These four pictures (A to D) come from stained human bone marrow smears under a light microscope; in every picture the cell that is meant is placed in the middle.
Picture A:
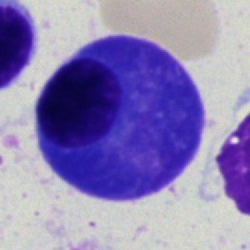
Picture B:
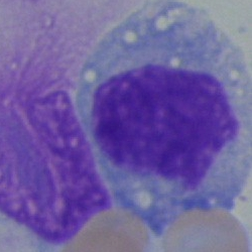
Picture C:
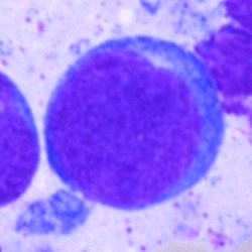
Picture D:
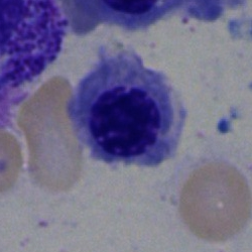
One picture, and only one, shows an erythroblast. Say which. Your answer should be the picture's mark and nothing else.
D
